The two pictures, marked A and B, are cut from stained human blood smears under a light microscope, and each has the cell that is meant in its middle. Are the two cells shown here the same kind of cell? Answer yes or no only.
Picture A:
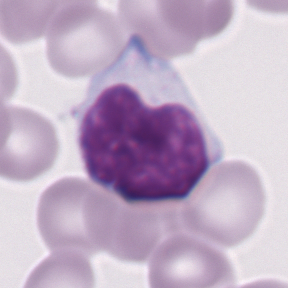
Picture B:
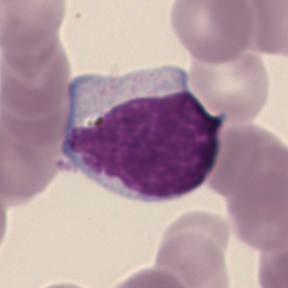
yes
